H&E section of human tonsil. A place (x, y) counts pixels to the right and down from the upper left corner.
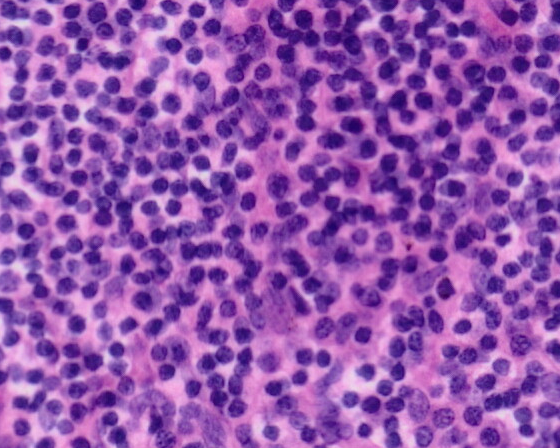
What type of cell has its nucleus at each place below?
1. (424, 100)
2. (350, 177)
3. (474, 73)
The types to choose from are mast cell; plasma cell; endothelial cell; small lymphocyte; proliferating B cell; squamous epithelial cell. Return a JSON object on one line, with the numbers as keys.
{"1": "small lymphocyte", "2": "plasma cell", "3": "plasma cell"}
